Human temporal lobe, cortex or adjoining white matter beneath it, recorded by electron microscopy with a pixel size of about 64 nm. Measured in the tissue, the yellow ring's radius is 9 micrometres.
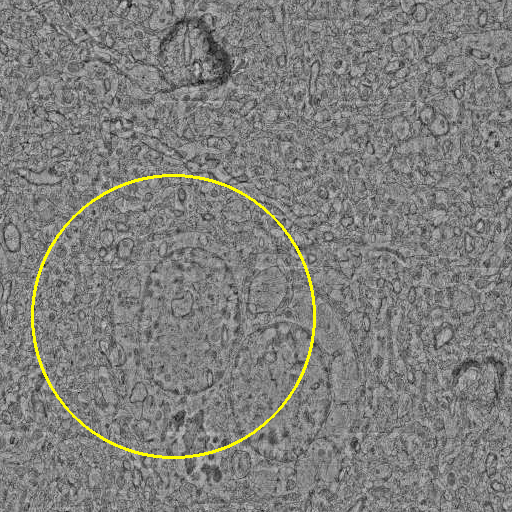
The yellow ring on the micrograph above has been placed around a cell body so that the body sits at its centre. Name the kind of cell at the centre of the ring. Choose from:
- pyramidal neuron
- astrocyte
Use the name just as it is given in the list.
astrocyte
